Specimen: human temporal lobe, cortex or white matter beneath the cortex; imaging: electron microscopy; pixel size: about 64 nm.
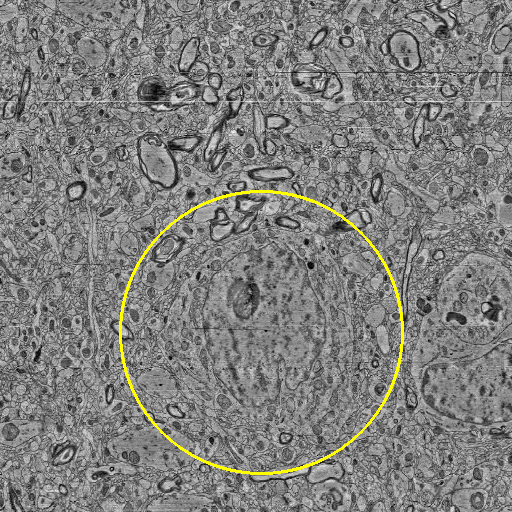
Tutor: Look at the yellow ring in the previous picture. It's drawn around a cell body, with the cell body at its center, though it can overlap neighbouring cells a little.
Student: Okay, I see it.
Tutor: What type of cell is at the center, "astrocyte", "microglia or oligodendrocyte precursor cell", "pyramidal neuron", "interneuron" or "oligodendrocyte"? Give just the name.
interneuron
